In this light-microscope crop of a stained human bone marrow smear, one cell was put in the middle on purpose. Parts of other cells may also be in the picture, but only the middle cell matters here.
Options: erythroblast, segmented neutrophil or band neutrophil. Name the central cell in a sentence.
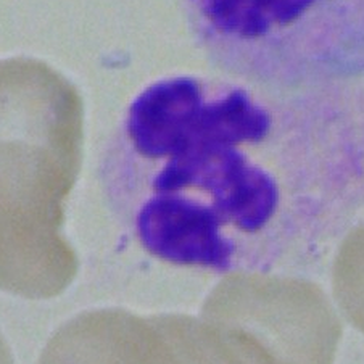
To answer, the cell in the center of the crop is a segmented neutrophil.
